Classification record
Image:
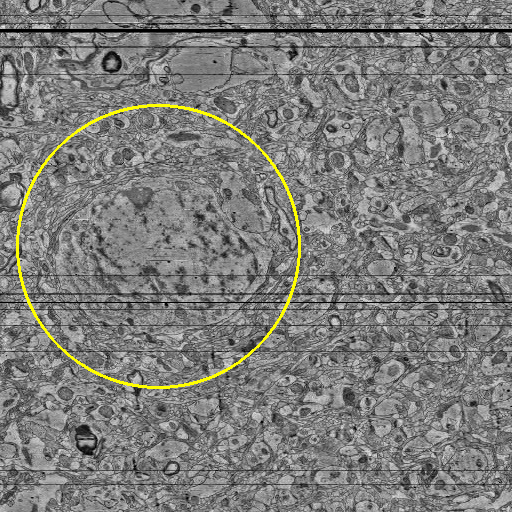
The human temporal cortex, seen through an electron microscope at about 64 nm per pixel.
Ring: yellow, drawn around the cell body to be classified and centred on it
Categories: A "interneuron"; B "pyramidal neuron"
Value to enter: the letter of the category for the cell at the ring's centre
A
